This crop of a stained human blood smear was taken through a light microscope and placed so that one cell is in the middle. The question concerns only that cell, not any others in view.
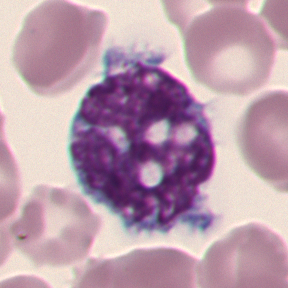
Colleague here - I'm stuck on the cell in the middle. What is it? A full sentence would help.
The cell under consideration, at the middle of the crop, is a monocyte.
